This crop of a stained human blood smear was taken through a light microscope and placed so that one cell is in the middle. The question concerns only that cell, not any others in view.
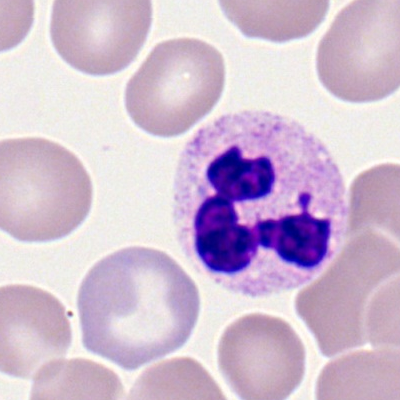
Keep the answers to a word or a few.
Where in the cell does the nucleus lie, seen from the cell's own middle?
lower left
